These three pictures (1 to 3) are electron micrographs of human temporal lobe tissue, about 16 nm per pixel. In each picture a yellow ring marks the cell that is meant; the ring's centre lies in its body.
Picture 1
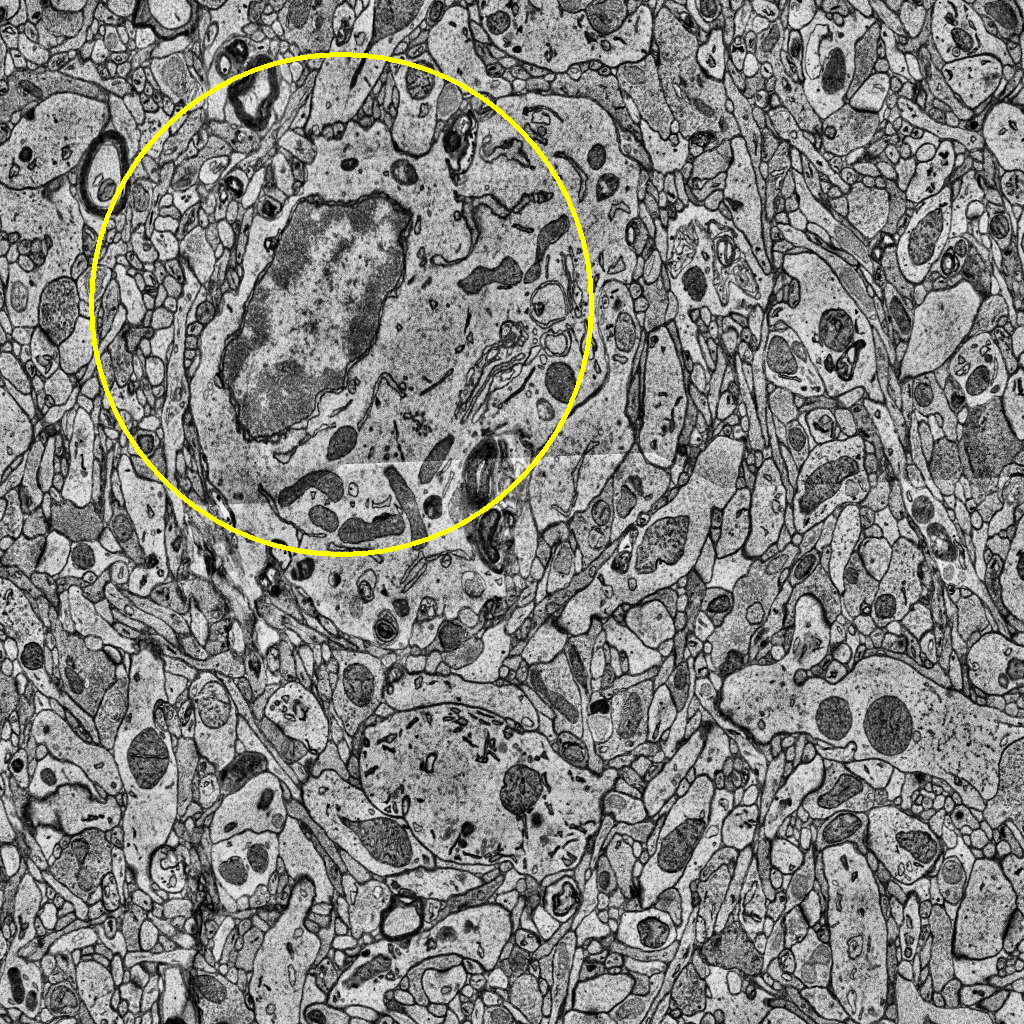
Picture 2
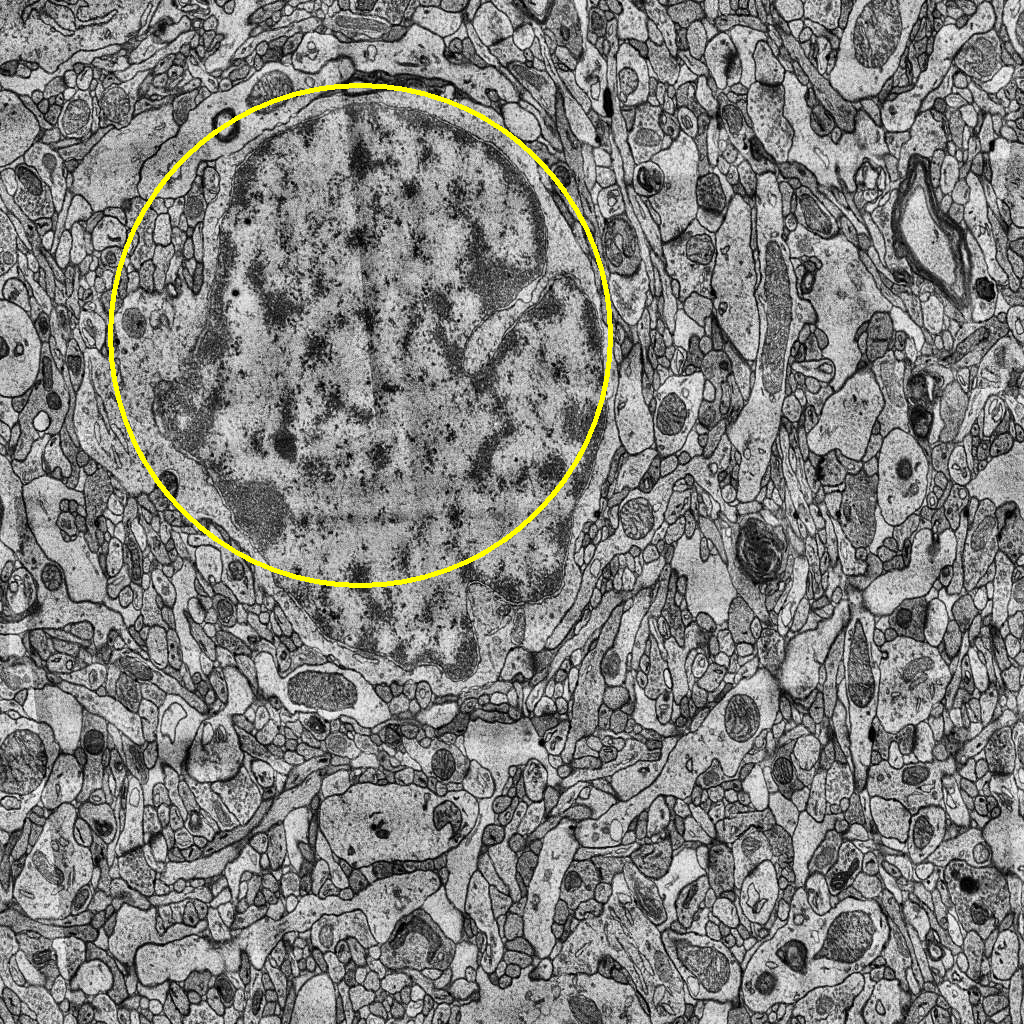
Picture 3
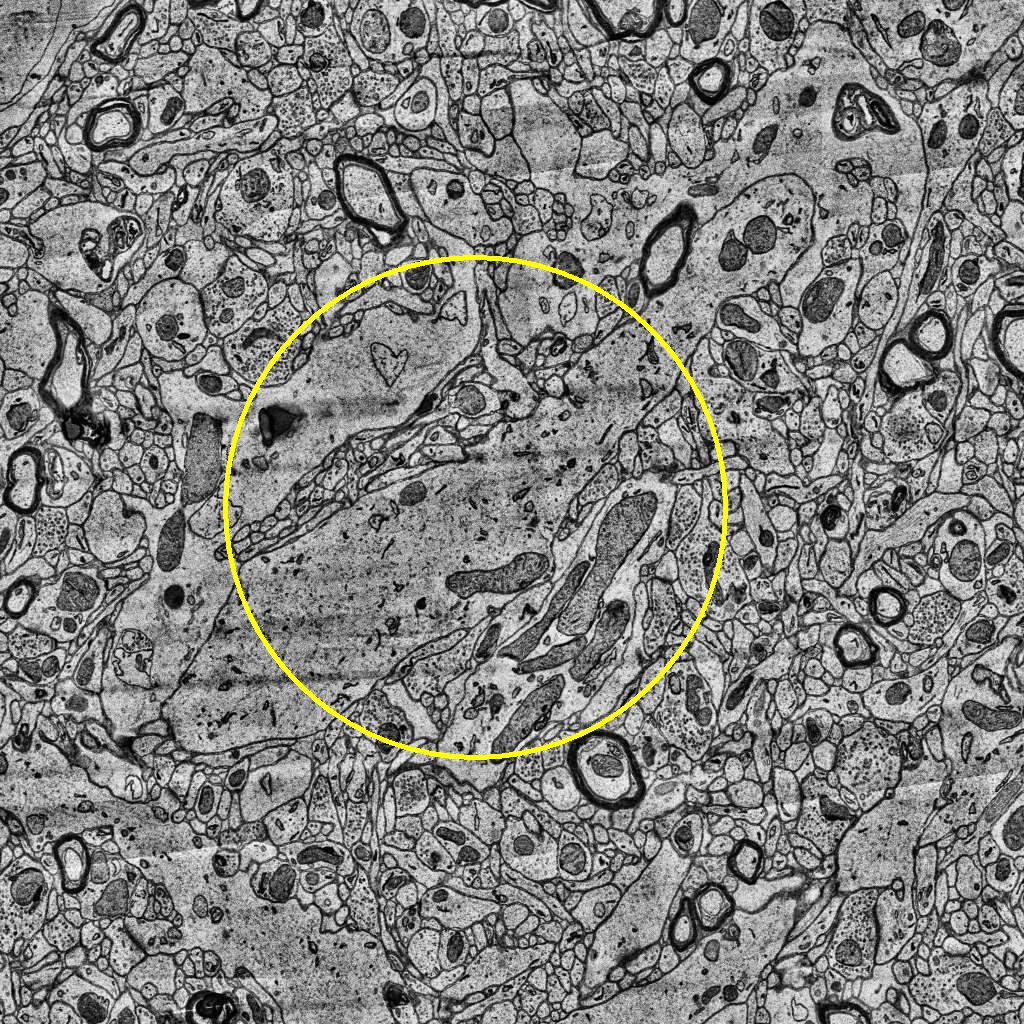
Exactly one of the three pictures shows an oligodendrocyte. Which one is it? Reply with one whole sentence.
The oligodendrocyte is the one in picture 3.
